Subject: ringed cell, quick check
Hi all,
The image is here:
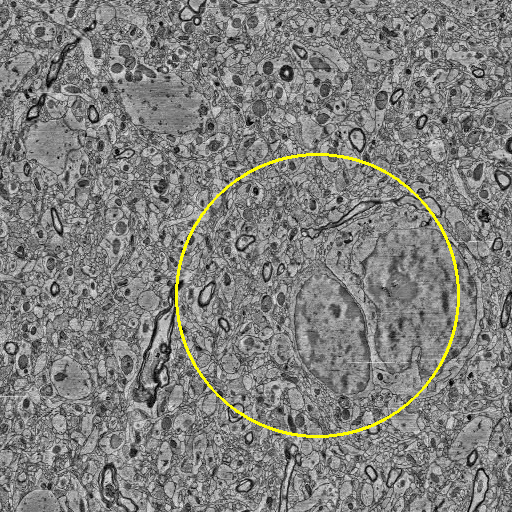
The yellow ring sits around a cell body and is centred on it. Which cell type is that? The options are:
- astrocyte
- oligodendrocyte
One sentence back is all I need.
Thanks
That ringed cell is an oligodendrocyte.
